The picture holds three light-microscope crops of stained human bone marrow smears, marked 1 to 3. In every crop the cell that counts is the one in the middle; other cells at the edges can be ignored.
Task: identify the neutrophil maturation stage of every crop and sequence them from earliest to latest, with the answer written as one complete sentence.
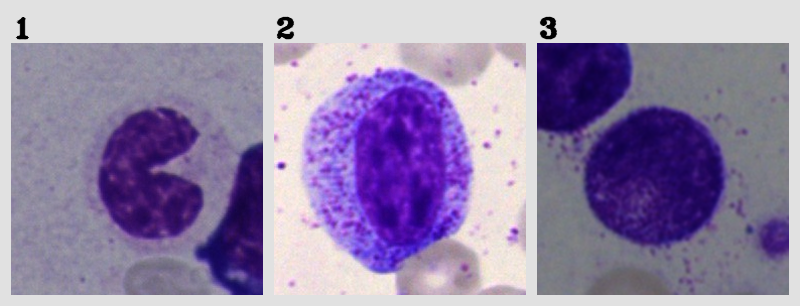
The ordering by maturity, from earliest to most mature, is crop 2 (a myelocyte), crop 3 (a metamyelocyte) and crop 1 (a band neutrophil).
